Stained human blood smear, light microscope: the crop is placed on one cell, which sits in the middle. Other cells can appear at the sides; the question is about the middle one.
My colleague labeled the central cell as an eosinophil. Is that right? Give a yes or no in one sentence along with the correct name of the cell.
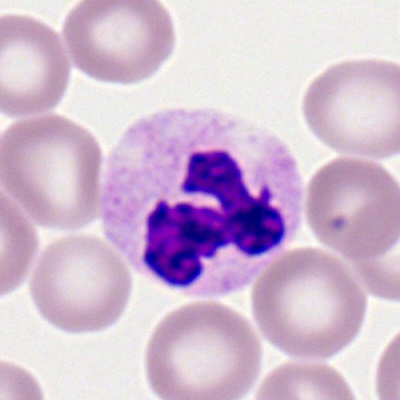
No, the cell sitting in the middle is a segmented neutrophil, and it is not an eosinophil.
